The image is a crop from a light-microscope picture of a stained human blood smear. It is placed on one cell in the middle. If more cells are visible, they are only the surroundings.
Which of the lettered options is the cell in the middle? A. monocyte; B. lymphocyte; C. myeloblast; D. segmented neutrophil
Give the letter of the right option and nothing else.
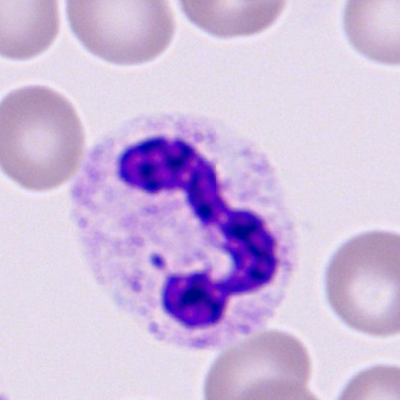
D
